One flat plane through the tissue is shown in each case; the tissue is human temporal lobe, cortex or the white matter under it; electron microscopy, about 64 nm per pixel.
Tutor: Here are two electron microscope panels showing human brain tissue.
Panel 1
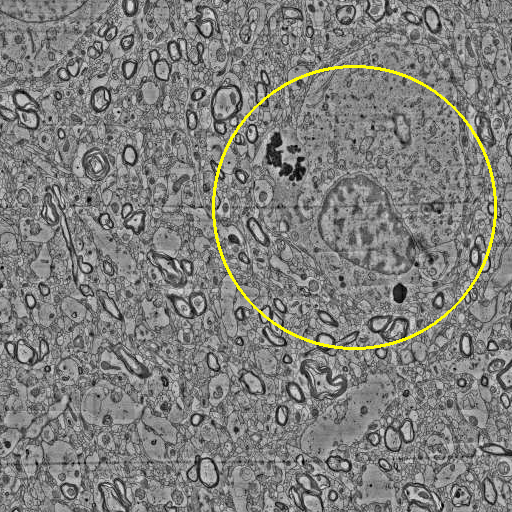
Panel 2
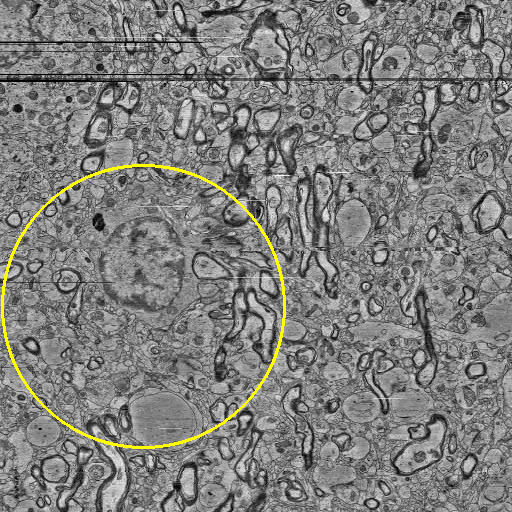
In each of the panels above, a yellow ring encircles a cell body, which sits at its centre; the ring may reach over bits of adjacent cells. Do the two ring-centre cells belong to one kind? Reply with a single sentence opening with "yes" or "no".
Yes, the two cells sitting at the ring centres in the panels belong to one kind.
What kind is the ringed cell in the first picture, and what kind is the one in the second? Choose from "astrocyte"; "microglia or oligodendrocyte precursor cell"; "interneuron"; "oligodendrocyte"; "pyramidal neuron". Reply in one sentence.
Each cell, in the first picture and the second, is an oligodendrocyte.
